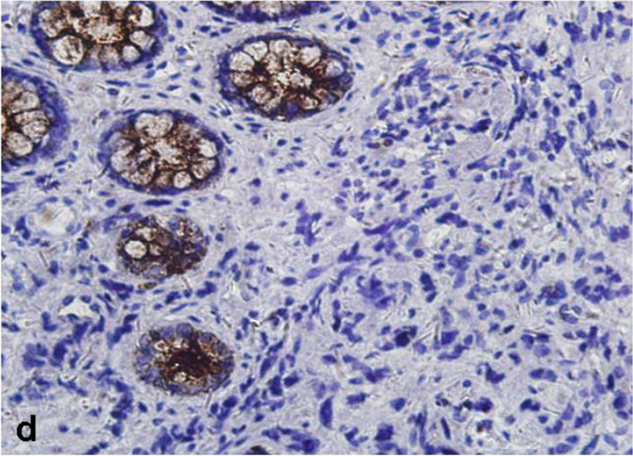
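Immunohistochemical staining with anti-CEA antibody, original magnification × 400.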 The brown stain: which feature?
normal colonic glands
